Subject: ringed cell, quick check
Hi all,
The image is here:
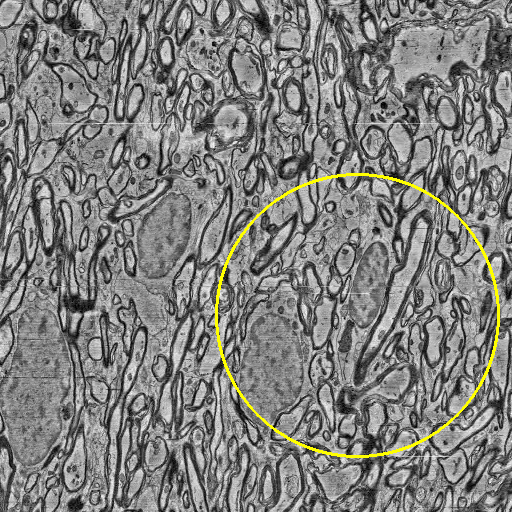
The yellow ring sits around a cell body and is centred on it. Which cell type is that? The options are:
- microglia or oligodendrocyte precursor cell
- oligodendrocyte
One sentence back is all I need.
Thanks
That ringed cell is a microglial cell or oligodendrocyte precursor cell.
